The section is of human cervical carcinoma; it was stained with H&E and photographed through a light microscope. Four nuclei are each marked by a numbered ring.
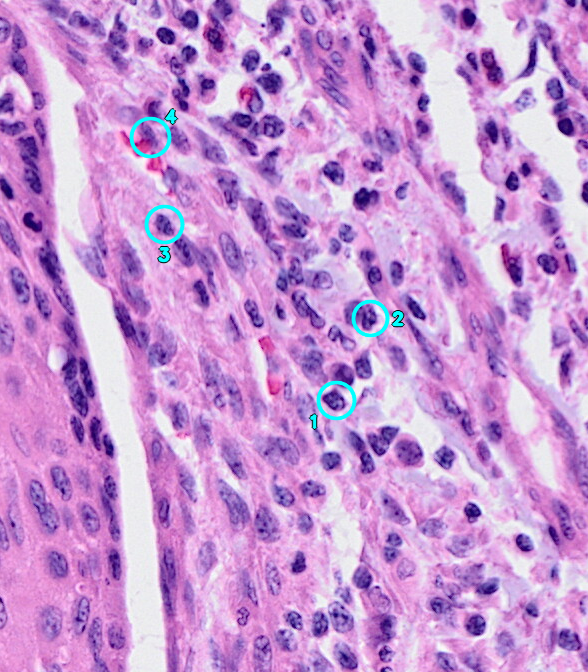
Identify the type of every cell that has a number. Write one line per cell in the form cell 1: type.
cell 1: lymphocyte
cell 2: lymphocyte
cell 3: lymphocyte
cell 4: endothelial cell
